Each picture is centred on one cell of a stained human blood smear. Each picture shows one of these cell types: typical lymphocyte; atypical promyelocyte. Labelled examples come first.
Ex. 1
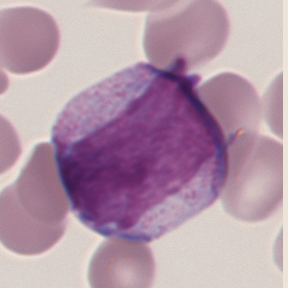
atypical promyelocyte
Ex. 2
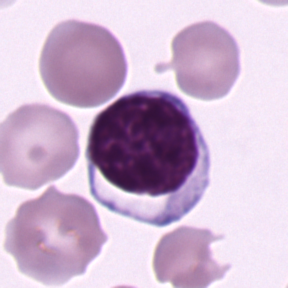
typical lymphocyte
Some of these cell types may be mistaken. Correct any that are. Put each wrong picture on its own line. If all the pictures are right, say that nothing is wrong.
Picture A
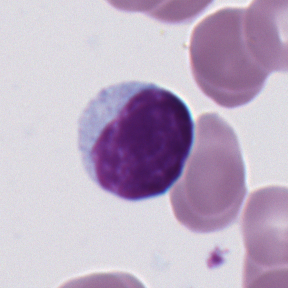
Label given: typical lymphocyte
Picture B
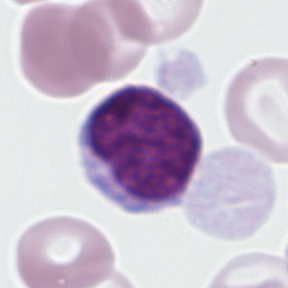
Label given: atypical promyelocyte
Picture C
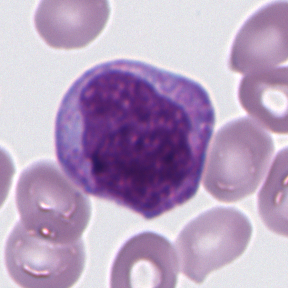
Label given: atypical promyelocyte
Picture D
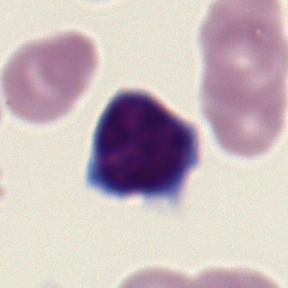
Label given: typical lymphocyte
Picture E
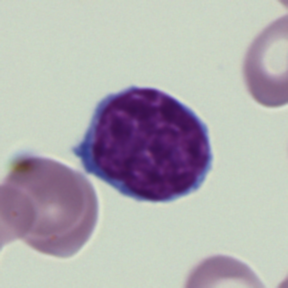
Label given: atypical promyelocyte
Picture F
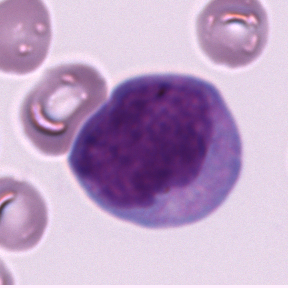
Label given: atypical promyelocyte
B should be typical lymphocyte, not atypical promyelocyte
E should be typical lymphocyte, not atypical promyelocyte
